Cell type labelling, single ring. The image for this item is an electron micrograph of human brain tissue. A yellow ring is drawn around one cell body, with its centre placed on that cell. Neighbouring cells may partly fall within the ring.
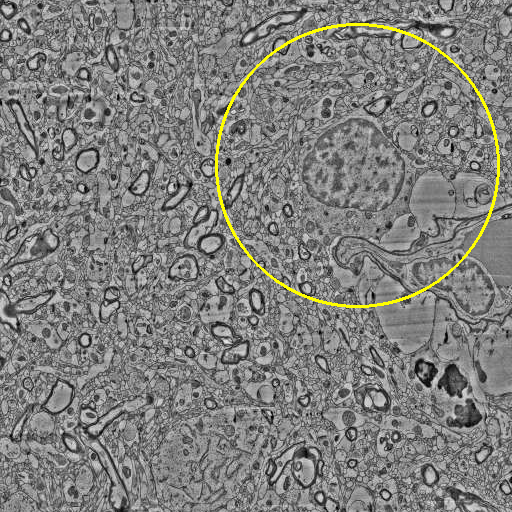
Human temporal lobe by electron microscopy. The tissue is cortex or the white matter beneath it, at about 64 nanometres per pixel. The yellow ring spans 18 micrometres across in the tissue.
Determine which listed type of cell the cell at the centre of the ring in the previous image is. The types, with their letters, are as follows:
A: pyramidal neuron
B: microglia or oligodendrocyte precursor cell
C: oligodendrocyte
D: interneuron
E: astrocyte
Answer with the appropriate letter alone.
C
